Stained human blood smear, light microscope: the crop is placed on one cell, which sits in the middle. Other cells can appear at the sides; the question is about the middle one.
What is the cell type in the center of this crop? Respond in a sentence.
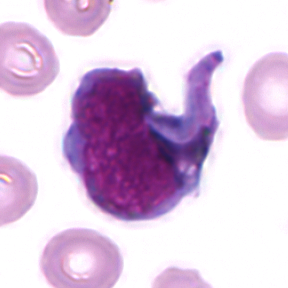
The middle cell in this particular crop is an atypical promyelocyte.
